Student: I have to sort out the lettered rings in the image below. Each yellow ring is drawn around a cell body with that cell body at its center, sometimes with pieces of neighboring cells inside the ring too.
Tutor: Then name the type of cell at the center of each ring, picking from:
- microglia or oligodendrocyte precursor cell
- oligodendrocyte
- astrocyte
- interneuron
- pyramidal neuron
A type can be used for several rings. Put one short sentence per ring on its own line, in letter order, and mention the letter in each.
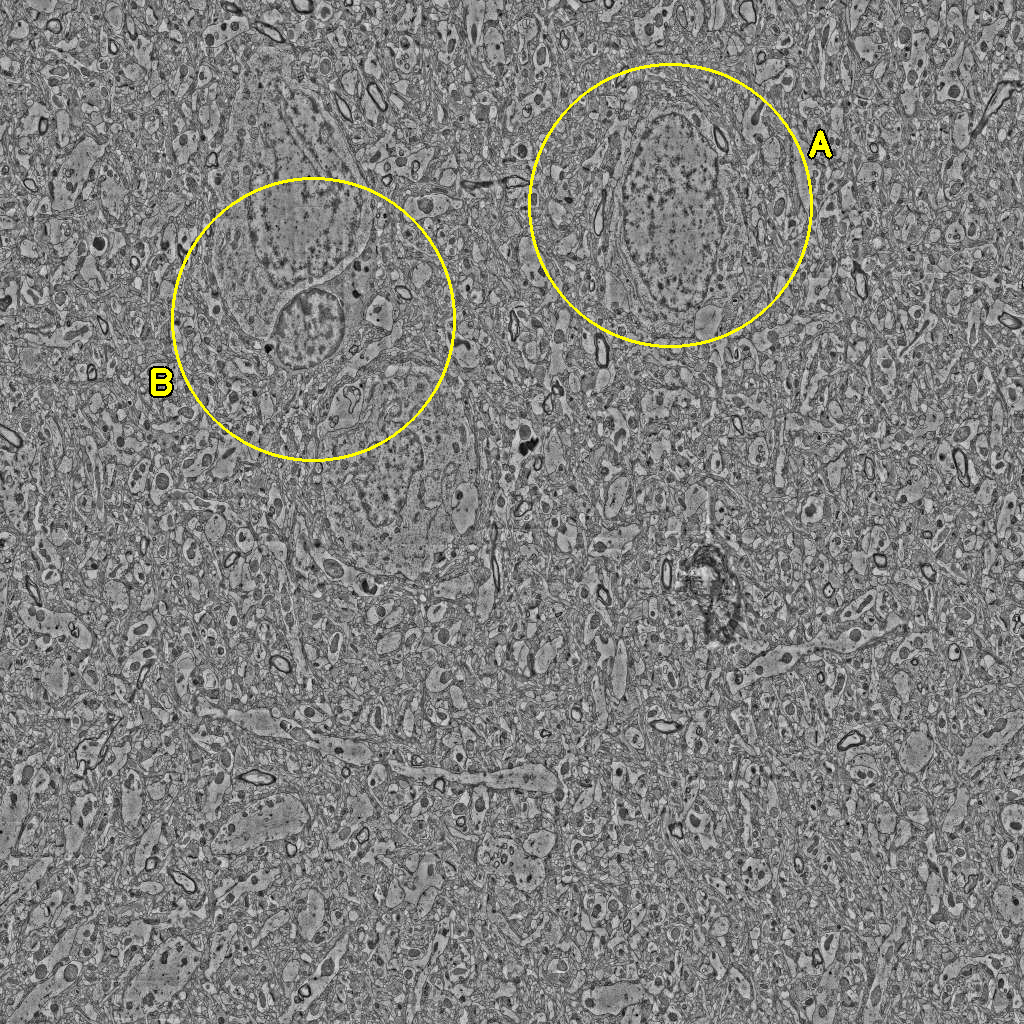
Inside ring A, at its center, is an interneuron.
Inside ring B, at its center, is an oligodendrocyte.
